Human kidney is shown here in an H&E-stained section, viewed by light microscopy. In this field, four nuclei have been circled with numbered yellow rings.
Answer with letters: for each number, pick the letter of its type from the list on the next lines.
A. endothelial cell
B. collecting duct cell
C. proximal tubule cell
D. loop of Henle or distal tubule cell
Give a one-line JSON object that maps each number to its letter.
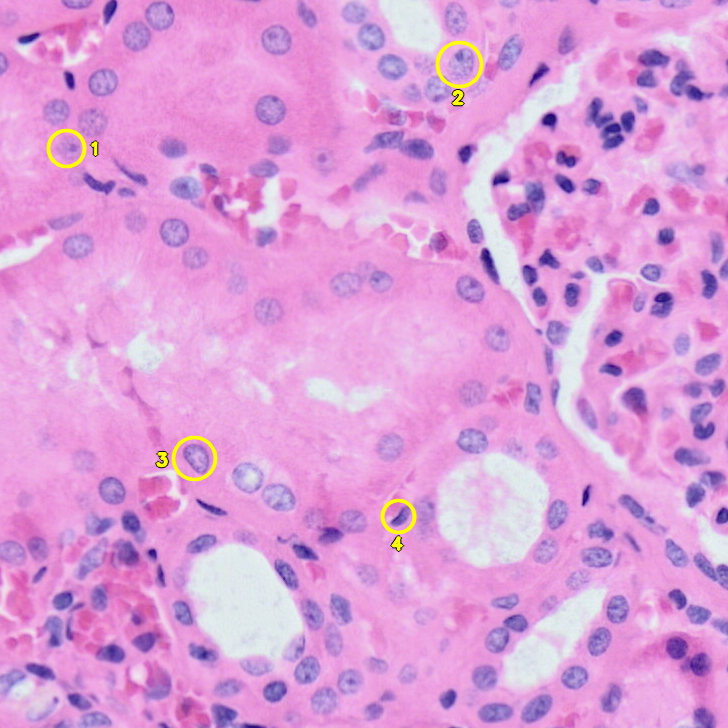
{"1": "C", "2": "B", "3": "C", "4": "A"}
